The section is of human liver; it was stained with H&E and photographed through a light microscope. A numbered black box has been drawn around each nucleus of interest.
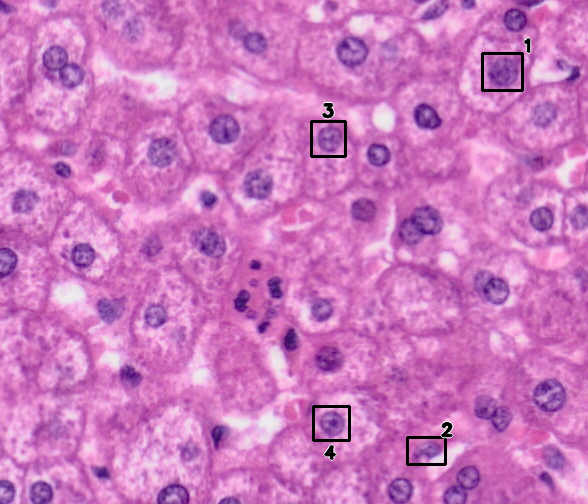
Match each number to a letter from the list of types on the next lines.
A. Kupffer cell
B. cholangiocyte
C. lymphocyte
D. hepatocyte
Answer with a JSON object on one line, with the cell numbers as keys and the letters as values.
{"1": "D", "2": "A", "3": "D", "4": "D"}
